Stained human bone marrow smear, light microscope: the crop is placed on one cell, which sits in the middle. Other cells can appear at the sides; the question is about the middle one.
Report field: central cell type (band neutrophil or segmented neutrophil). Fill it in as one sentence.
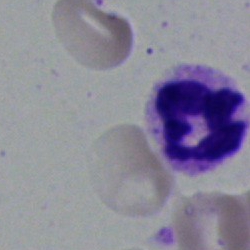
The cell the crop is centered on is a segmented neutrophil.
